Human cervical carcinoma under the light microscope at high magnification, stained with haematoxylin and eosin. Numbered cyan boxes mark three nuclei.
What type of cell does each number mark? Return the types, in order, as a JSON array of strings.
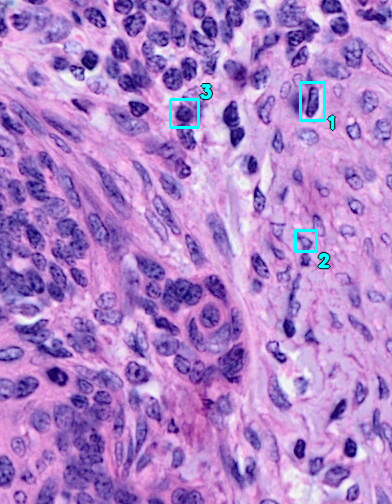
["lymphocyte", "smooth muscle cell", "lymphocyte"]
